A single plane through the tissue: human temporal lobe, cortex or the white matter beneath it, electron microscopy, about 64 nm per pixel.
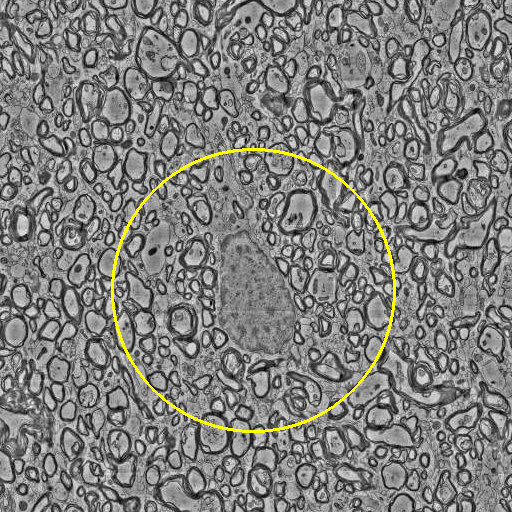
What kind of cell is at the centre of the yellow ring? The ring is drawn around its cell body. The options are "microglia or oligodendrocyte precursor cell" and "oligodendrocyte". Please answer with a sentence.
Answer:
The yellow ring marks the cell body of an oligodendrocyte.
